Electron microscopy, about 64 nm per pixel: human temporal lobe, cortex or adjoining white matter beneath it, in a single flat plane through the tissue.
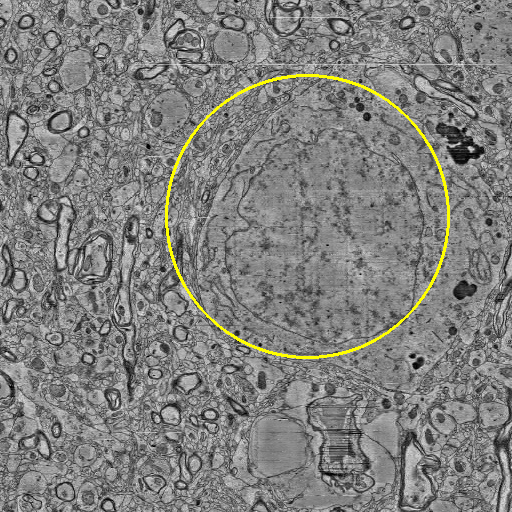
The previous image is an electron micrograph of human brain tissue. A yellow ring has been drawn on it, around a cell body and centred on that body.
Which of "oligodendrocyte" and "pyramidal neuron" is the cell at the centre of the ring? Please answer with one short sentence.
The cell body at the centre of the ring belongs to a pyramidal neuron.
